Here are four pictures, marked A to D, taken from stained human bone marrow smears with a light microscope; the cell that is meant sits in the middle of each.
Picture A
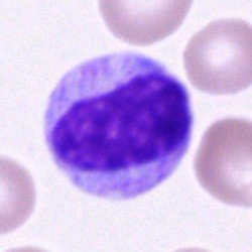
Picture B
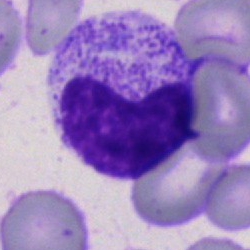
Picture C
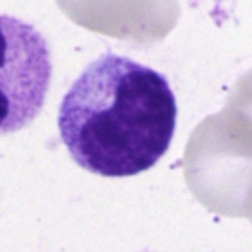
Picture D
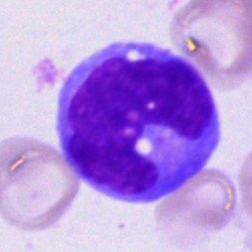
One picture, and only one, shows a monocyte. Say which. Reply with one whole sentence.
It is picture D that shows the monocyte.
